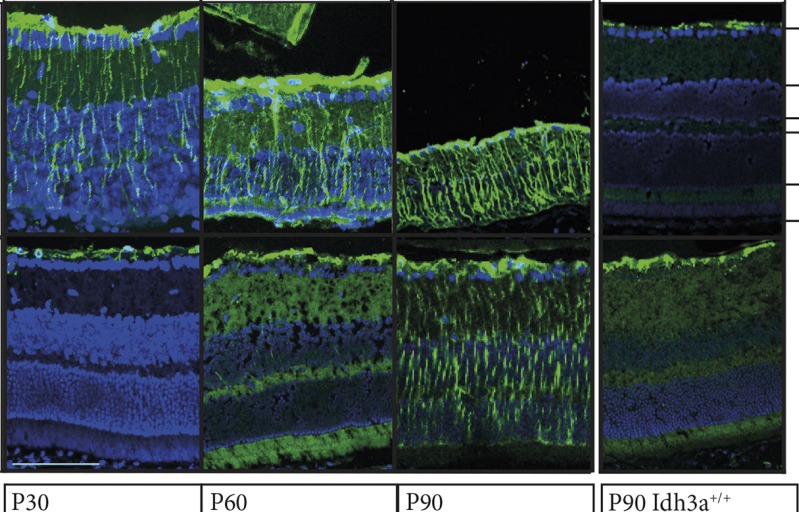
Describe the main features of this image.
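In several images, green fibres run straight across the retina from the inner surface towards the outer layers, threading between the blue nuclei. In these images the inner surface of the retina is also brightly green. In one image the nuclear layers appear much thinner, with the green fibres crossing almost the whole reduced thickness.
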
